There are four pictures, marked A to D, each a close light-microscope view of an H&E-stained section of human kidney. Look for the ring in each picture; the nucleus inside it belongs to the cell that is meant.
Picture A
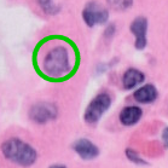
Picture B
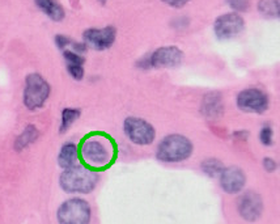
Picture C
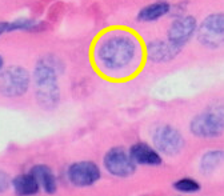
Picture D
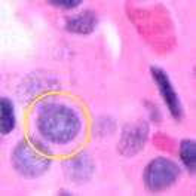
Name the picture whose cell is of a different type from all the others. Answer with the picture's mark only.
A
